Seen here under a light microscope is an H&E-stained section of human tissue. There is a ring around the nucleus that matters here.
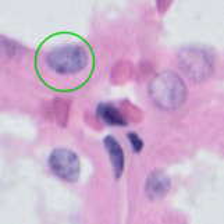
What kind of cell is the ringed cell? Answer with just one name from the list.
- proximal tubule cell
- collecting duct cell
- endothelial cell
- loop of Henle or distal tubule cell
loop of Henle or distal tubule cell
